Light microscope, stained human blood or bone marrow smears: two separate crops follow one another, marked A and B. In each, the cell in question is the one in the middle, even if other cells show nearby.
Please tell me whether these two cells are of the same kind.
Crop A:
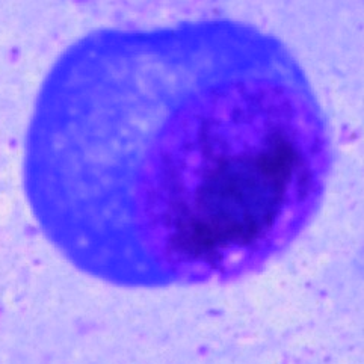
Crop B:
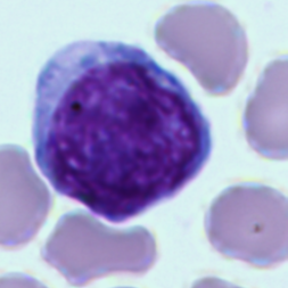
yes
